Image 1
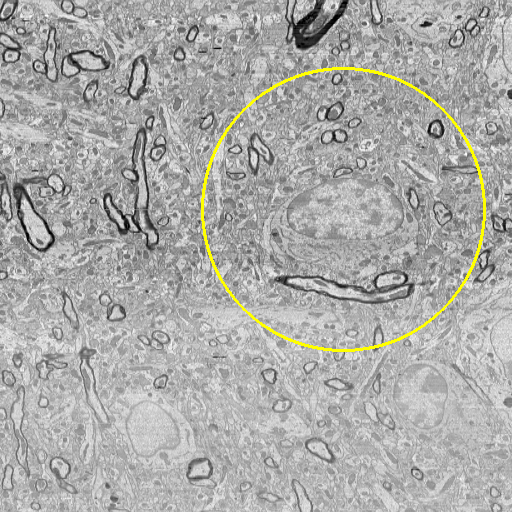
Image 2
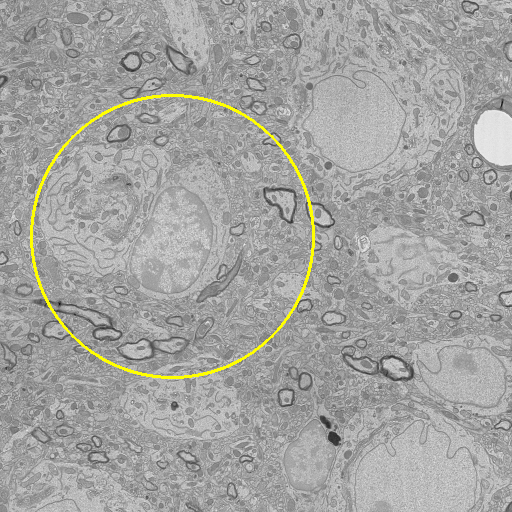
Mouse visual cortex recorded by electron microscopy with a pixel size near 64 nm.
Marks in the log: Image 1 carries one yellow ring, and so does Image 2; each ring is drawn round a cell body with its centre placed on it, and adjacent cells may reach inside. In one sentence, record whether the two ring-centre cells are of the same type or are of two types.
The two cells at the ring centres, one in each image, are of the same type.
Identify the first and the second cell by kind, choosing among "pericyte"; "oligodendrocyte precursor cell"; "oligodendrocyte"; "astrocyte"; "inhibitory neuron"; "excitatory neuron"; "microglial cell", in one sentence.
The ring centre holds an oligodendrocyte in each of the two pictures.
